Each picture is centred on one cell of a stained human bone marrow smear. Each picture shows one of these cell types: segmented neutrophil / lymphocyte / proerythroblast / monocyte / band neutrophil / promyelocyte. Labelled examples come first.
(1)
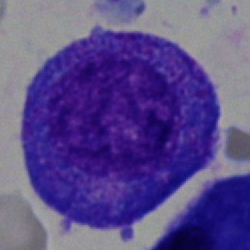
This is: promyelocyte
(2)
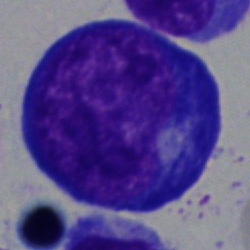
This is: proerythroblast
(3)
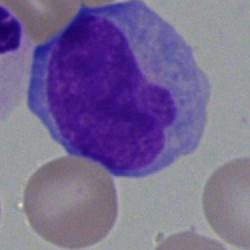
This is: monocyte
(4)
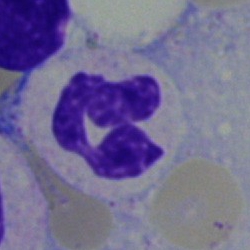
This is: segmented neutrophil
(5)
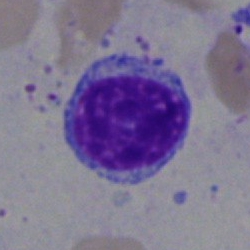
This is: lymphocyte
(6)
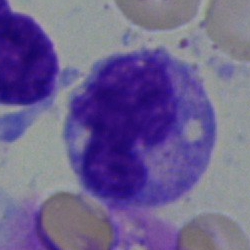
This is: monocyte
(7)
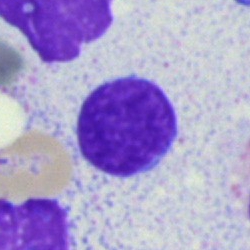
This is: lymphocyte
